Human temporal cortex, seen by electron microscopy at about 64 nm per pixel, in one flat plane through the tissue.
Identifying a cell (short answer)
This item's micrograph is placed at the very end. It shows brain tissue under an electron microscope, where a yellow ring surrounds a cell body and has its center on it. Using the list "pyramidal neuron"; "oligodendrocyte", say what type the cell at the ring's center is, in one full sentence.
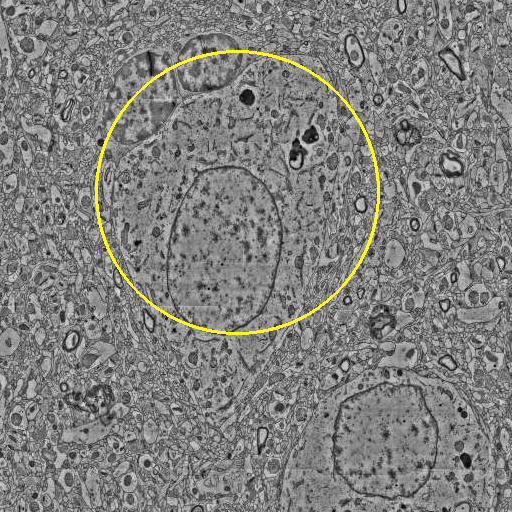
This picture shows a pyramidal neuron at the center of the yellow ring drawn on it.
